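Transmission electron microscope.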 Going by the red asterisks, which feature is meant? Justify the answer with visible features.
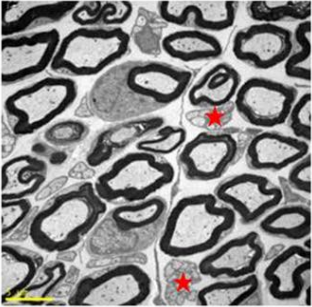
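Unmyelinated nerves. The asterisks mark small clusters of pale thin axon profiles. These profiles have no dark ring around them.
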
